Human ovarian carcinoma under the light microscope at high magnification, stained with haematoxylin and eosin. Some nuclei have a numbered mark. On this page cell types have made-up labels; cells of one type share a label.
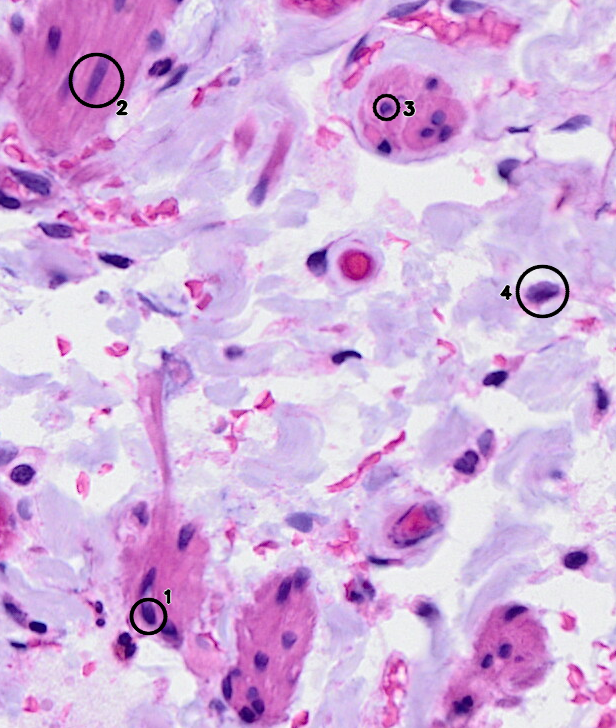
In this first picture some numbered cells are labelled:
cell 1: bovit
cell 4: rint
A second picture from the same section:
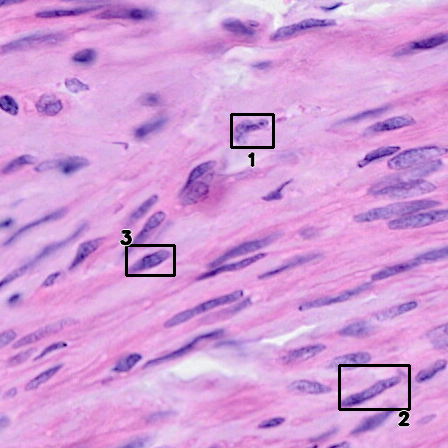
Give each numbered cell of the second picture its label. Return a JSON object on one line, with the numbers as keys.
{"1": "rint", "2": "bovit", "3": "bovit"}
